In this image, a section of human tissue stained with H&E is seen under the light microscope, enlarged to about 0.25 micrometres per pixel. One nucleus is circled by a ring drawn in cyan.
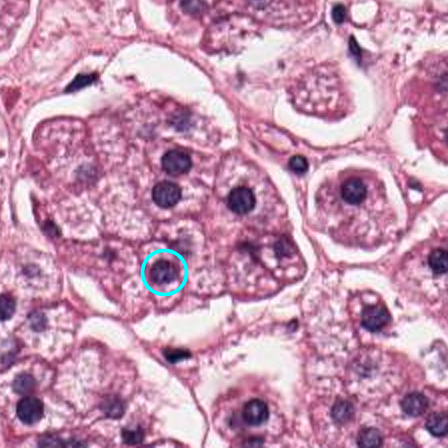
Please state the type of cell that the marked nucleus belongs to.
adrenal cortical cell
